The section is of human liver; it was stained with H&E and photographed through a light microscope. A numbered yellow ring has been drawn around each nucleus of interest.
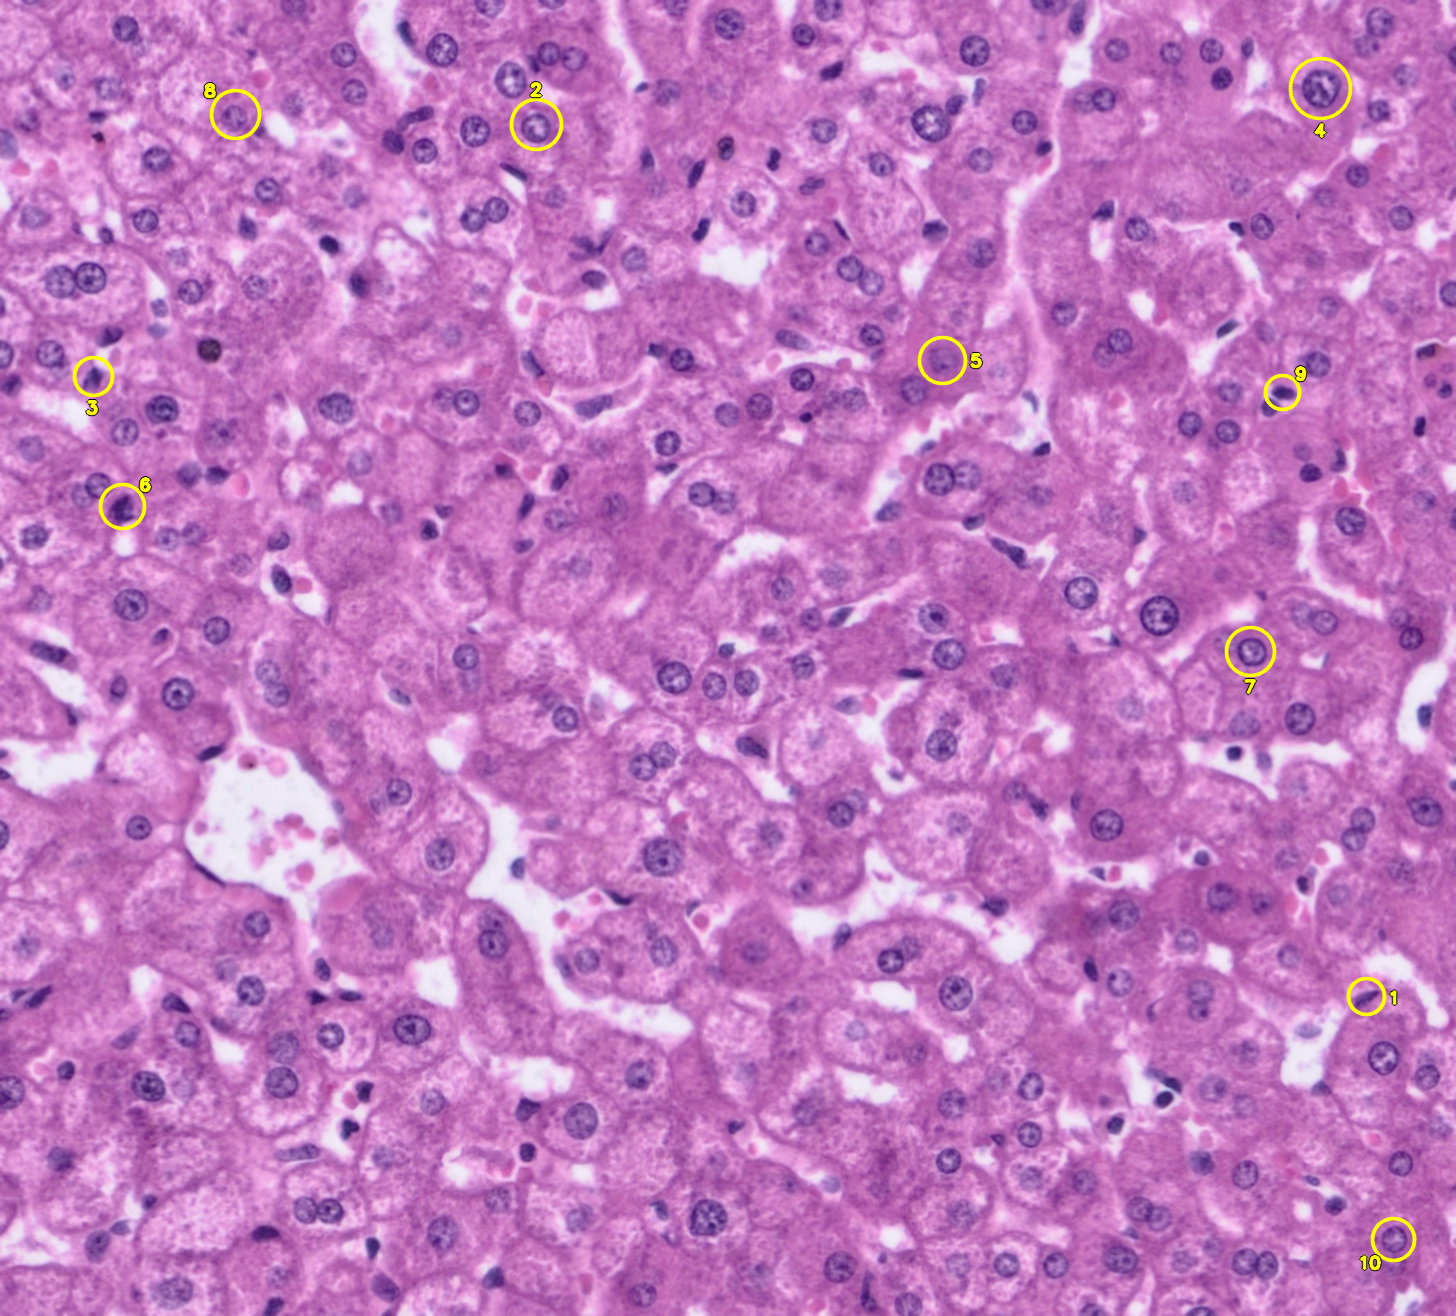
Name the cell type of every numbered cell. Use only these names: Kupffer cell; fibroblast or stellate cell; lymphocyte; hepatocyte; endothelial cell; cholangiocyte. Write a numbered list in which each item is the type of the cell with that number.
1. fibroblast or stellate cell
2. hepatocyte
3. fibroblast or stellate cell
4. hepatocyte
5. hepatocyte
6. fibroblast or stellate cell
7. hepatocyte
8. hepatocyte
9. lymphocyte
10. hepatocyte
